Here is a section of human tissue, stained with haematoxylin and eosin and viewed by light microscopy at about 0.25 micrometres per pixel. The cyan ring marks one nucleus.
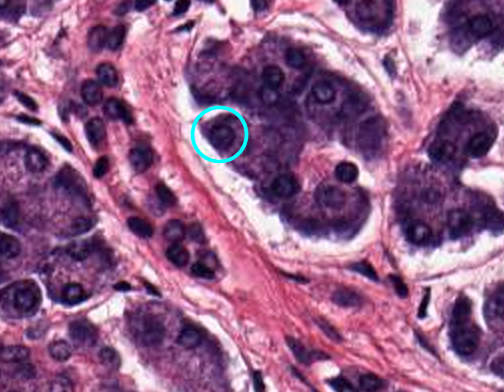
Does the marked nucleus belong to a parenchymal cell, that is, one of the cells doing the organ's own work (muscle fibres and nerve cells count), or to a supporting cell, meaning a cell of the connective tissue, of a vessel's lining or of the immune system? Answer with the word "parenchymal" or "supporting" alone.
parenchymal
